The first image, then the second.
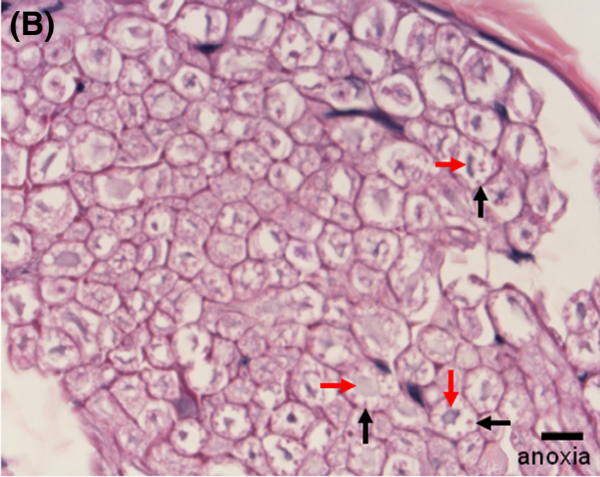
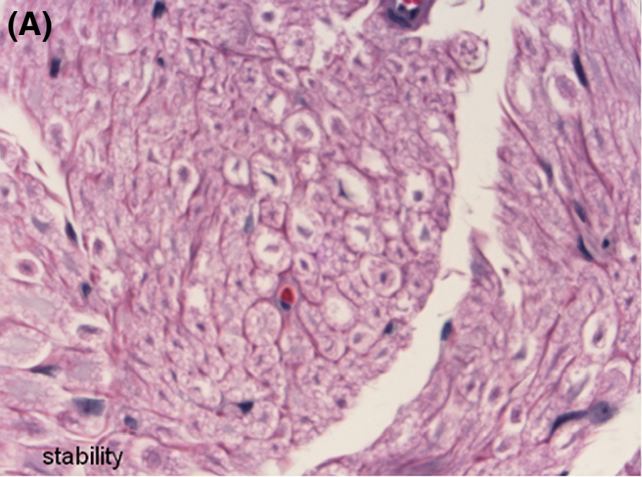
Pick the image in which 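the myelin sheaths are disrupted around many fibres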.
The first image.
